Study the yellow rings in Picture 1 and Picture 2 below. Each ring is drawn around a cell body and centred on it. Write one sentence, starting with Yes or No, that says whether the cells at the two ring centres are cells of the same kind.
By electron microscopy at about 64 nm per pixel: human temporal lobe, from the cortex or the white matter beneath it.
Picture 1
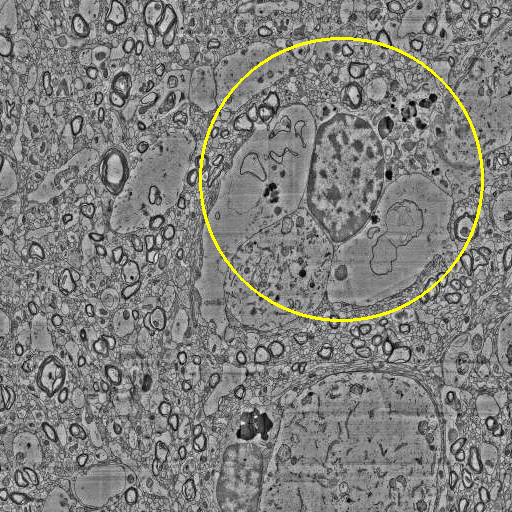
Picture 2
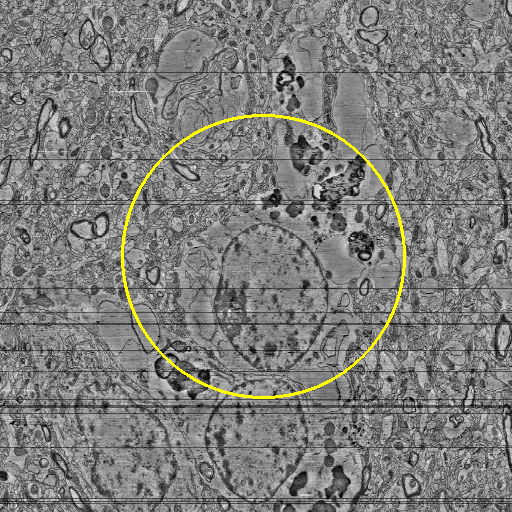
No, the cells at the ring centres are of two kinds.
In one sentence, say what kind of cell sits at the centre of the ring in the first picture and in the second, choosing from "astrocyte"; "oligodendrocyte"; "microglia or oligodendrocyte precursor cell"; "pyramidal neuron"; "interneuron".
The first picture's ringed cell is a microglial cell or oligodendrocyte precursor cell, while the second picture's is an astrocyte.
